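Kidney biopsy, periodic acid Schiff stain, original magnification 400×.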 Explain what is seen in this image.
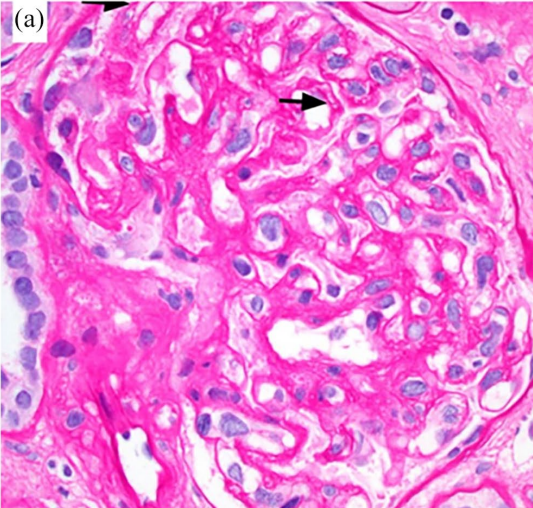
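This is a glomerulus: a round tuft of capillary loops, lined and filled with cells whose nuclei stain blue-purple, within a thin pink capsule, with tubular epithelium at the edge. The capillary walls stain magenta and look wrinkled and thickened in places rather than smooth and delicate. In some loops the wall appears as two parallel pink lines, a double contour, where the wall has split.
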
